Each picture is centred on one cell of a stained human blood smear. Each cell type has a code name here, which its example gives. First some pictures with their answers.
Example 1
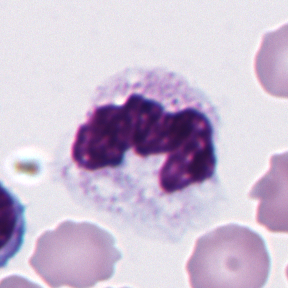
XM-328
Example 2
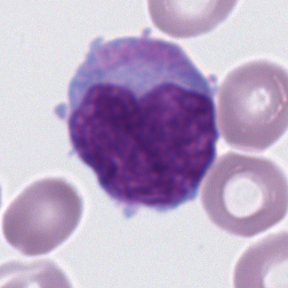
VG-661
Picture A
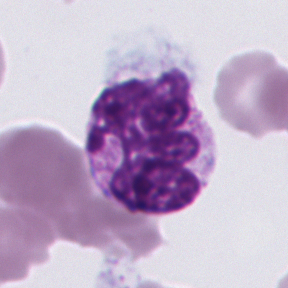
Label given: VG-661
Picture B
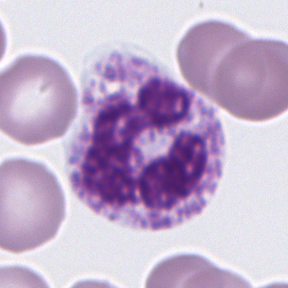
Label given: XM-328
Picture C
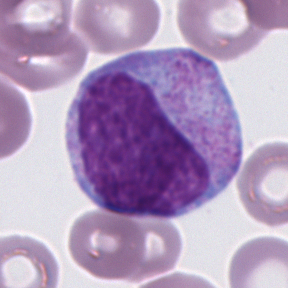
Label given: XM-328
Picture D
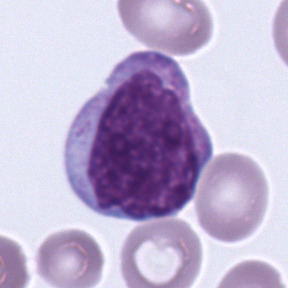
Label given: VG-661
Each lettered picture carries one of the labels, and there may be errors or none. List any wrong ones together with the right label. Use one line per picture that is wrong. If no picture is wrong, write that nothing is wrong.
A is labelled VG-661; correct label: XM-328
C is labelled XM-328; correct label: VG-661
